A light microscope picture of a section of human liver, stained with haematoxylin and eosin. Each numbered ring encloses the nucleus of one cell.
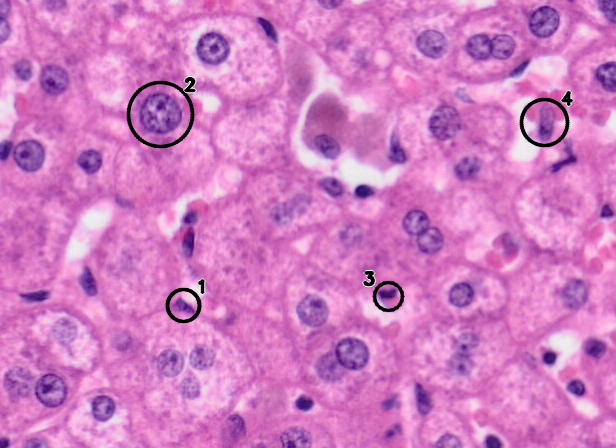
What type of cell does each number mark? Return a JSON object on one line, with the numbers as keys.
{"1": "endothelial cell", "2": "hepatocyte", "3": "endothelial cell", "4": "Kupffer cell"}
